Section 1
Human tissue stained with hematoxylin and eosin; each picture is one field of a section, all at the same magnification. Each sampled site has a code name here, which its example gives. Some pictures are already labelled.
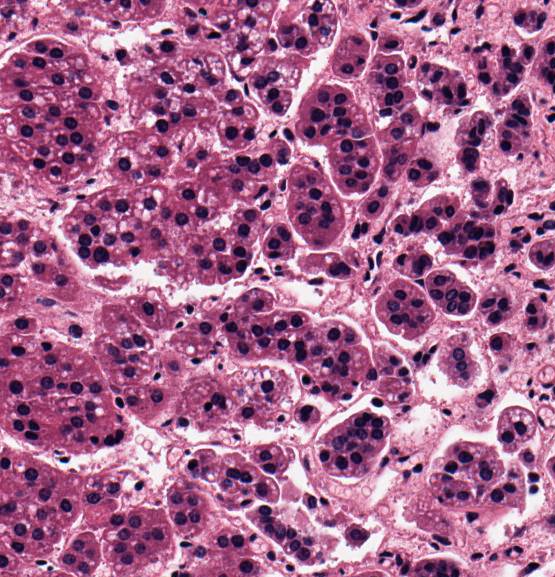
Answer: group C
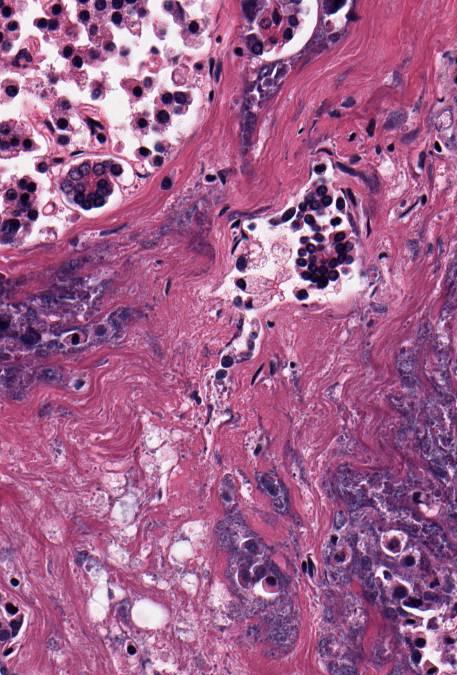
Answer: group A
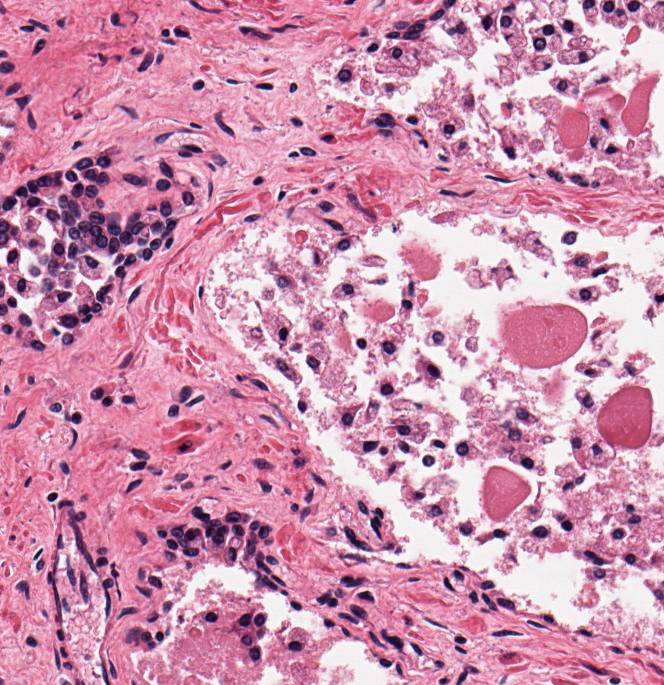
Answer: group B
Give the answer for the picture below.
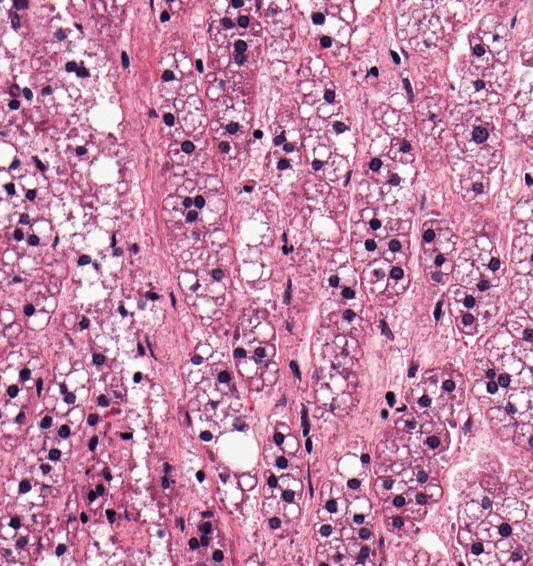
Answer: group C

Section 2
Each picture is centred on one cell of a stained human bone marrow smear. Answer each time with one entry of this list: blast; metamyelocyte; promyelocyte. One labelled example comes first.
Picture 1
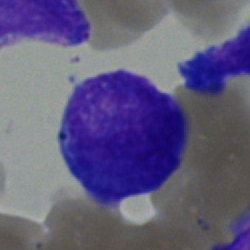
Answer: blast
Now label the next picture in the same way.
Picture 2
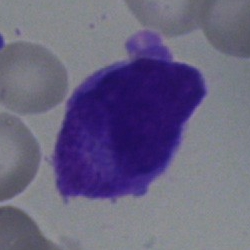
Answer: blast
